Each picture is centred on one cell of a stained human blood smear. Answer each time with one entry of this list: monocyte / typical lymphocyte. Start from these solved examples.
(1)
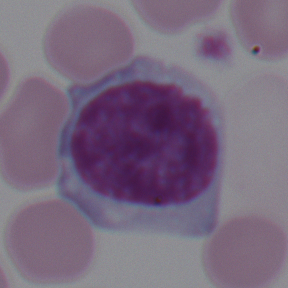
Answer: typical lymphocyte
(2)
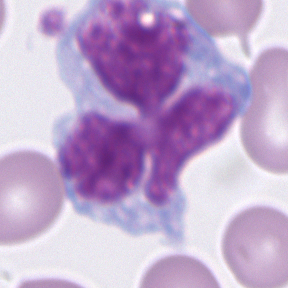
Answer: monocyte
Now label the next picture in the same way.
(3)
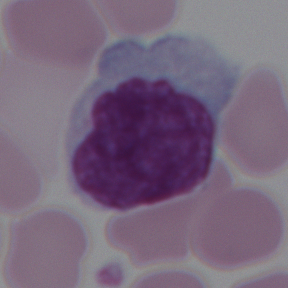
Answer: monocyte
